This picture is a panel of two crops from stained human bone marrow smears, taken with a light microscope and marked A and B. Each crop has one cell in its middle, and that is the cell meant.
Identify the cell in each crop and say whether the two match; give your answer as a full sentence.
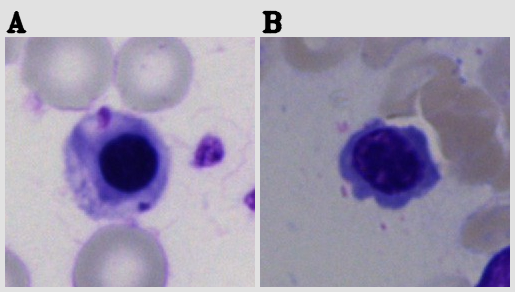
Yes, the cells that the two crops centre on are erythroblasts.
